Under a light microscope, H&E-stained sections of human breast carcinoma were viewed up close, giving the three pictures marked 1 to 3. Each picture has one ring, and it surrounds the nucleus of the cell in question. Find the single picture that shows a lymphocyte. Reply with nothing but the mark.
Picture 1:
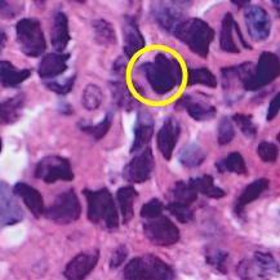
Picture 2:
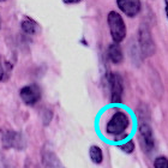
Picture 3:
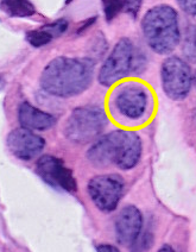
2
